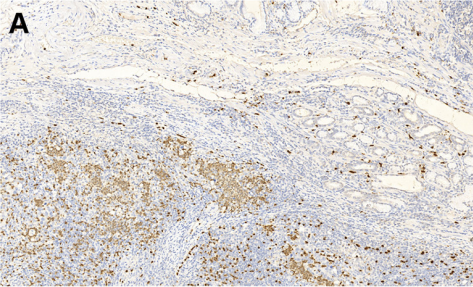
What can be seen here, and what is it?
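The lower left is densely cellular, blue-counterstained tissue in which brown granular cells gather in thick patches and streaks. Toward the upper right lie rounded and branching glands in looser pale stroma, with fewer brown cells scattered singly between them. A long pale band of fibrous tissue runs obliquely across the upper part. The brown cells are small and punctate at this low magnification, so their nuclei cannot be made out, but their crowding in the cellular area is plain.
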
